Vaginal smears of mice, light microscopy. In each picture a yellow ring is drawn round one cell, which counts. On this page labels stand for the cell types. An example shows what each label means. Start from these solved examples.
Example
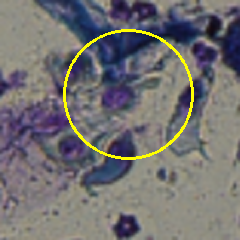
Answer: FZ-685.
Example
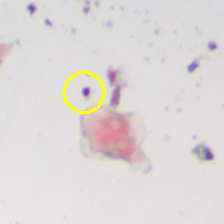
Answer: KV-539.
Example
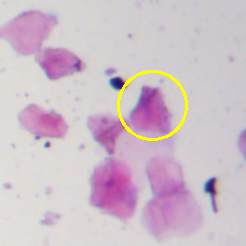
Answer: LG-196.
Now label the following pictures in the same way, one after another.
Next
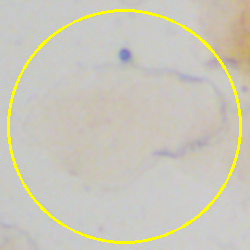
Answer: LG-196.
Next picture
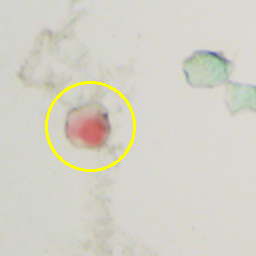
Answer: FZ-685.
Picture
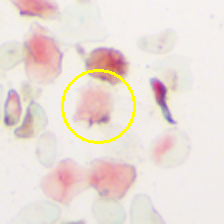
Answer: LG-196.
